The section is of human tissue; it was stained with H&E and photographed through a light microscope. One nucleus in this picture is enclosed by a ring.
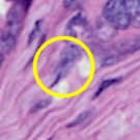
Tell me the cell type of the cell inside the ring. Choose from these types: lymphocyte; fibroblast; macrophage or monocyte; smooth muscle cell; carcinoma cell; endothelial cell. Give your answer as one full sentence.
By its classification, the cell inside the ring is a fibroblast.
